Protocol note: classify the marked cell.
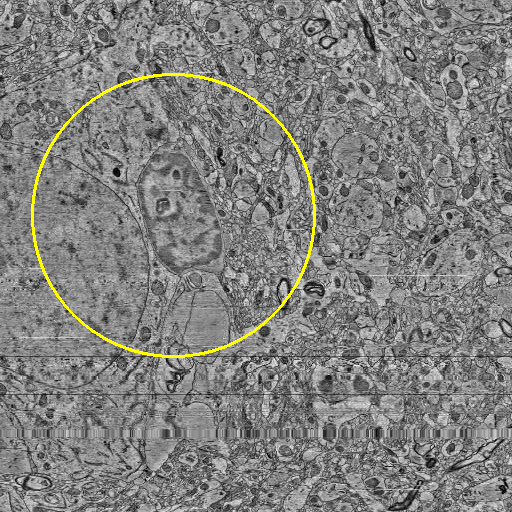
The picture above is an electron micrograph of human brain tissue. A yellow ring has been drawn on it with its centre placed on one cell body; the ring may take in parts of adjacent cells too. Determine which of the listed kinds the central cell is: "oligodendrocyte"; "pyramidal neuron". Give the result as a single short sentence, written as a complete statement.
The central cell is an oligodendrocyte.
